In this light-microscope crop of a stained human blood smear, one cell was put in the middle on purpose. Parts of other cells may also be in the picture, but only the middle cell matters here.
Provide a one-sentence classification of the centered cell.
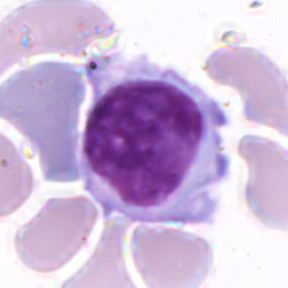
The cell in the exact centre of the crop is a plasma cell.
